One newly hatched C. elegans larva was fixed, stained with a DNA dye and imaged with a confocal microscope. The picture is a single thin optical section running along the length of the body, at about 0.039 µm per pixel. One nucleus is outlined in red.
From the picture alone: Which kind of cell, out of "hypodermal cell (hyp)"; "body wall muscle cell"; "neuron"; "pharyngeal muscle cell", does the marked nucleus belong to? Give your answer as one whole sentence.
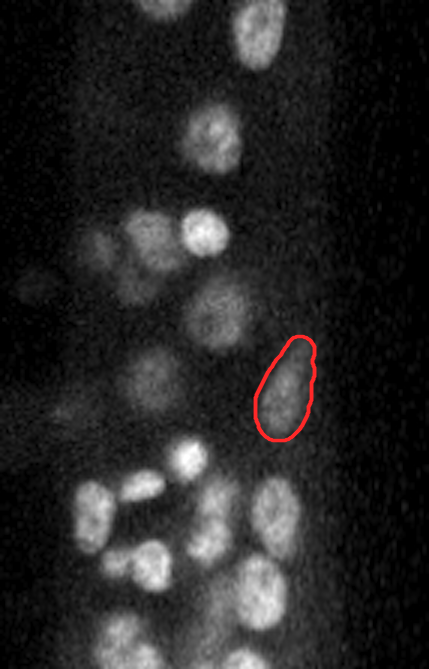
The marked cell is a body wall muscle cell.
